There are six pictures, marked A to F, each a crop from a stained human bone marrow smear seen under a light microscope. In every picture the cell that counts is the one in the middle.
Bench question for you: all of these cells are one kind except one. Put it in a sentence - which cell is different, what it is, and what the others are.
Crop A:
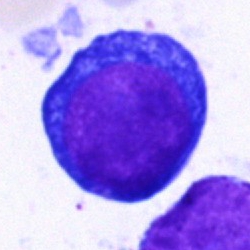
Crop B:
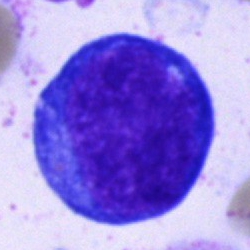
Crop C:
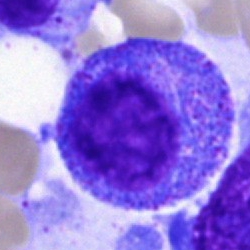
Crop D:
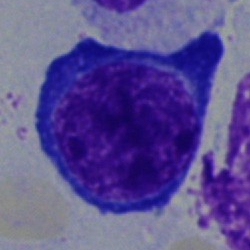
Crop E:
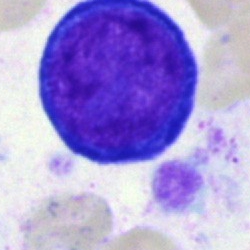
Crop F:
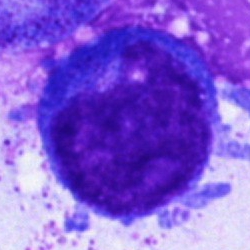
In this set, all crops show proerythroblasts apart from crop C, which is a promyelocyte.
